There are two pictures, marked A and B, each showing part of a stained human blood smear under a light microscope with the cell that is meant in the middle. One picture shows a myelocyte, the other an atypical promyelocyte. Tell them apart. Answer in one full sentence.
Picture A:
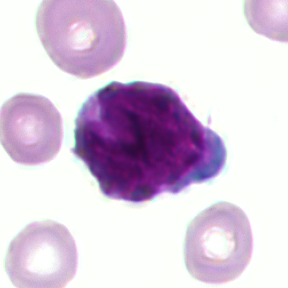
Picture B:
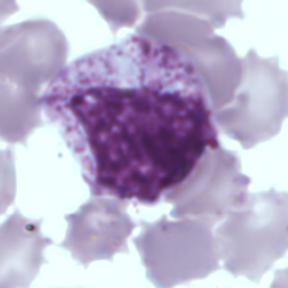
It is picture A that shows an atypical promyelocyte, and picture B that shows a myelocyte.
